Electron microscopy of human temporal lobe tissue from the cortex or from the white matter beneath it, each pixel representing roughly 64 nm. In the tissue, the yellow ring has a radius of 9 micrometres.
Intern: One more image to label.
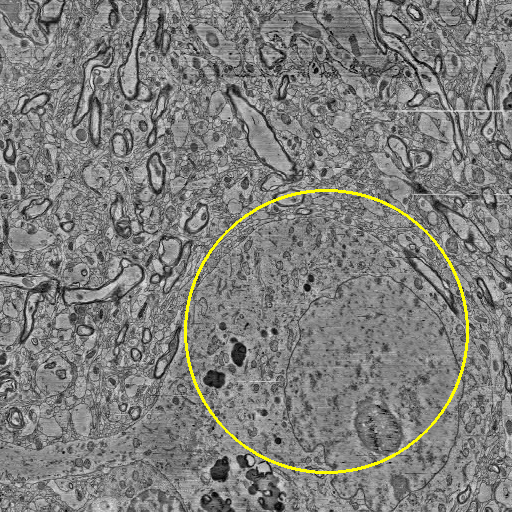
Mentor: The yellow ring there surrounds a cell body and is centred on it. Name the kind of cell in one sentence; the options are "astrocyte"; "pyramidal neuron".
The ring marks the cell body of a pyramidal neuron.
